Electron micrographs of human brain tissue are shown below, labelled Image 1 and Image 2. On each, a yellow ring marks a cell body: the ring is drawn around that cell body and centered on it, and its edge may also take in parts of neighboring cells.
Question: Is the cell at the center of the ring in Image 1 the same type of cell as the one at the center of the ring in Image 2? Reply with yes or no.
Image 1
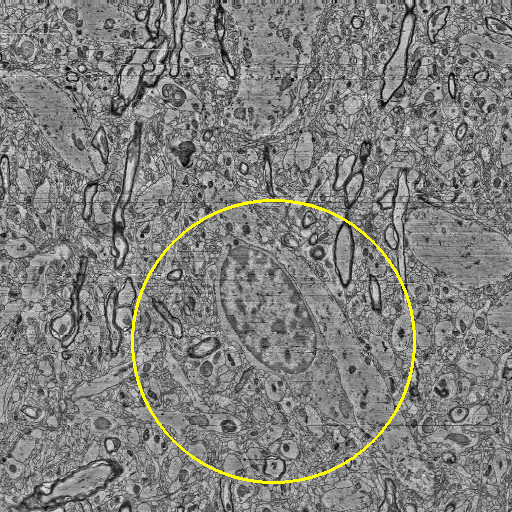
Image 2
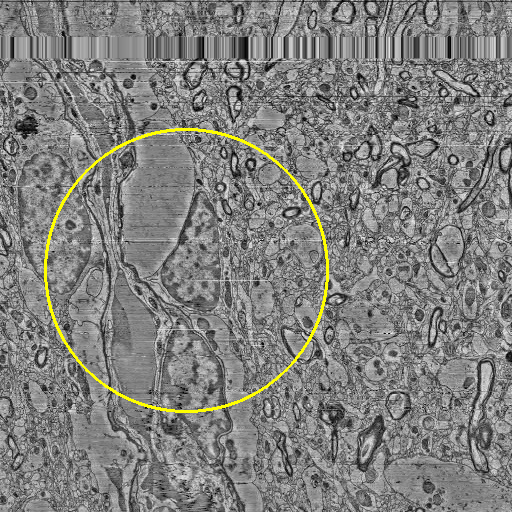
no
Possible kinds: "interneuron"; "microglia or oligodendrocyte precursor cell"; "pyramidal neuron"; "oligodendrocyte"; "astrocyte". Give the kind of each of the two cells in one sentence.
The cell in the second picture is a microglial cell or oligodendrocyte precursor cell, and that in the first is an oligodendrocyte.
